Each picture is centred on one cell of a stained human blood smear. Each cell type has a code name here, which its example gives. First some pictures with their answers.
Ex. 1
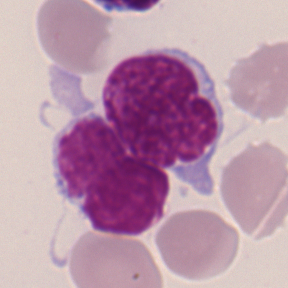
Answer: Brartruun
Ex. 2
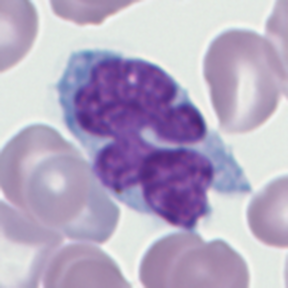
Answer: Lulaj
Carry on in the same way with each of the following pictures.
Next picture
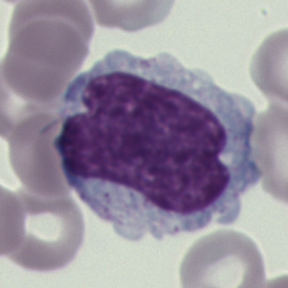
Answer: Lulaj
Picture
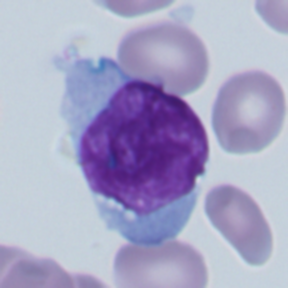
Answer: Brartruun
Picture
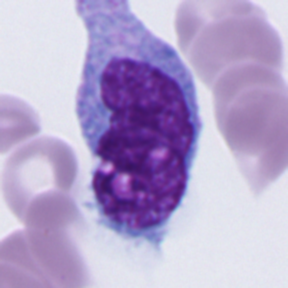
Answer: Lulaj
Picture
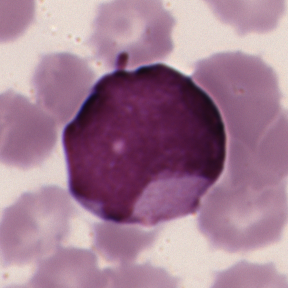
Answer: Brartruun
